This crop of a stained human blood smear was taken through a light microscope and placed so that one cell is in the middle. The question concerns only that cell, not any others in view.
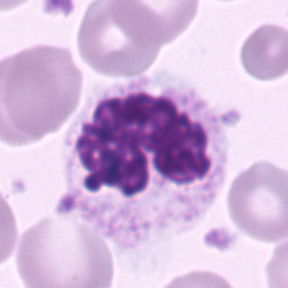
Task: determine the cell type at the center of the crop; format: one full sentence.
The cell in the middle of this crop is a segmented neutrophil.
